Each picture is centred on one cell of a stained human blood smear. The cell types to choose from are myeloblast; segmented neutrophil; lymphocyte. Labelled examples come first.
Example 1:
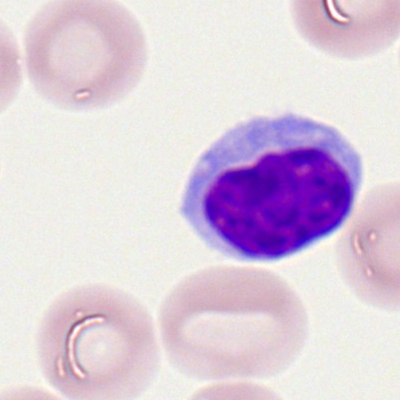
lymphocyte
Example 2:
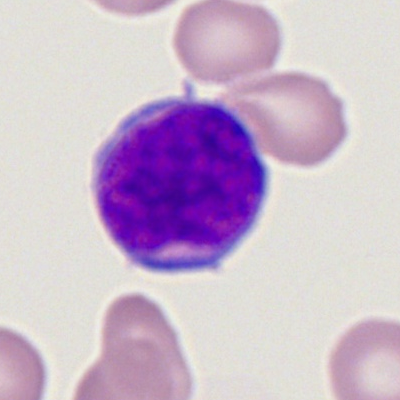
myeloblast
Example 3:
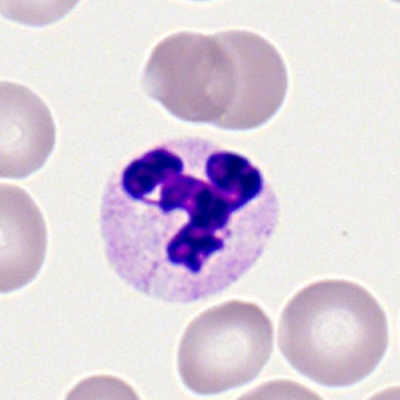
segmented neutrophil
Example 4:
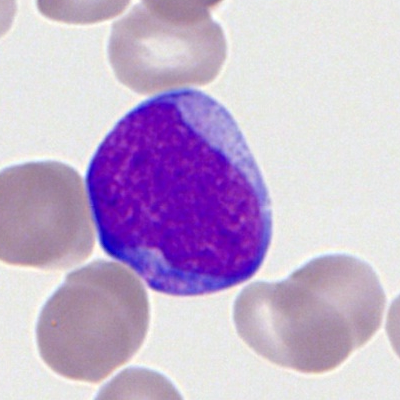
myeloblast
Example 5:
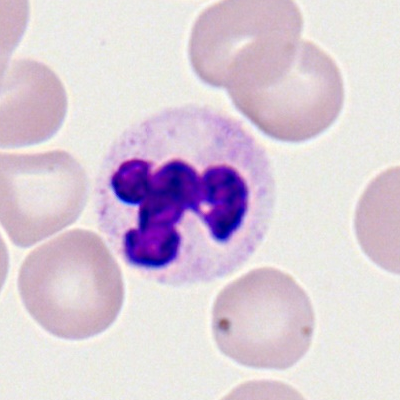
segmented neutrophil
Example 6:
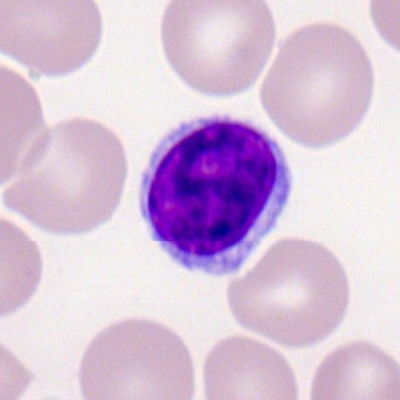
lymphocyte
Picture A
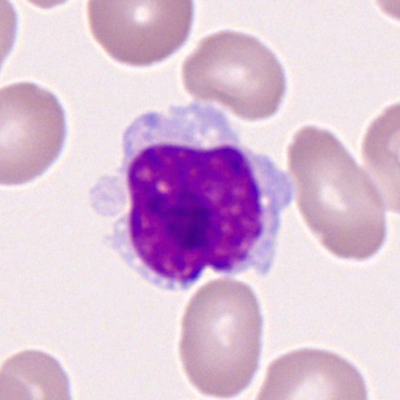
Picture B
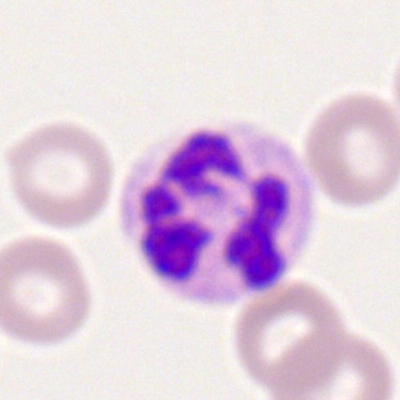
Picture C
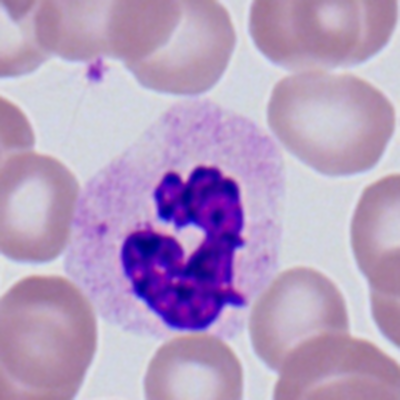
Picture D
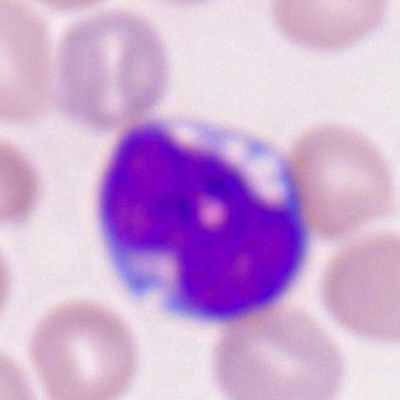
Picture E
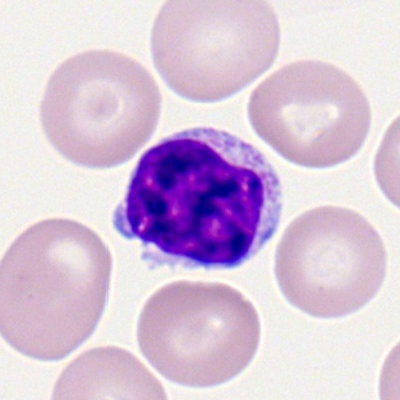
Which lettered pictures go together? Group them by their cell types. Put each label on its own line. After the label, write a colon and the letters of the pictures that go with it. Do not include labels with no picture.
myeloblast: D
segmented neutrophil: B, C
lymphocyte: A, E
